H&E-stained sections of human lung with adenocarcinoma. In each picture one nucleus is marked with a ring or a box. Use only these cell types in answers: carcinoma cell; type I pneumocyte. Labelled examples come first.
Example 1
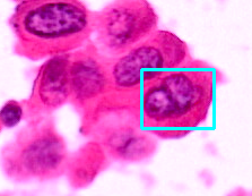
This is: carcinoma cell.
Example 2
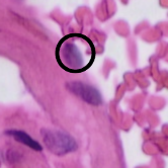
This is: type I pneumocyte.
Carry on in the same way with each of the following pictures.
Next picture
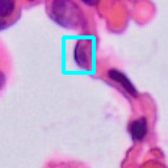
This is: type I pneumocyte.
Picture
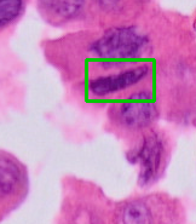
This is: carcinoma cell.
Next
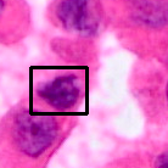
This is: carcinoma cell.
